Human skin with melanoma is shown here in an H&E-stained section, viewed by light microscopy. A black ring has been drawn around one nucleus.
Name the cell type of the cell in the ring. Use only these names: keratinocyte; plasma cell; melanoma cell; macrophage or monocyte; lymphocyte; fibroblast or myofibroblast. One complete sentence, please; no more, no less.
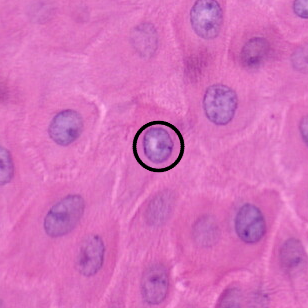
Histopathologically, the cell in the ring is a keratinocyte.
